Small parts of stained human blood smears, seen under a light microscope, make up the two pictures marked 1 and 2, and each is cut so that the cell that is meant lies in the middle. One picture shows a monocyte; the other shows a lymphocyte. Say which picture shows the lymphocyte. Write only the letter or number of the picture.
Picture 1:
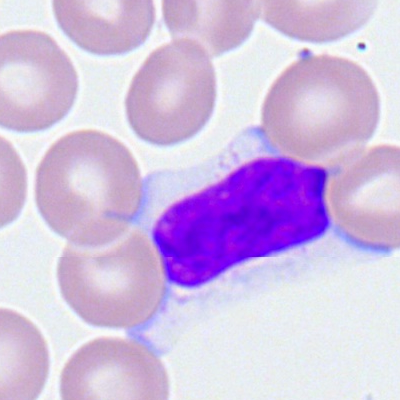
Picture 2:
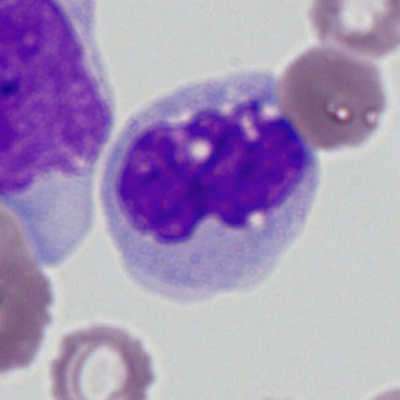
1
